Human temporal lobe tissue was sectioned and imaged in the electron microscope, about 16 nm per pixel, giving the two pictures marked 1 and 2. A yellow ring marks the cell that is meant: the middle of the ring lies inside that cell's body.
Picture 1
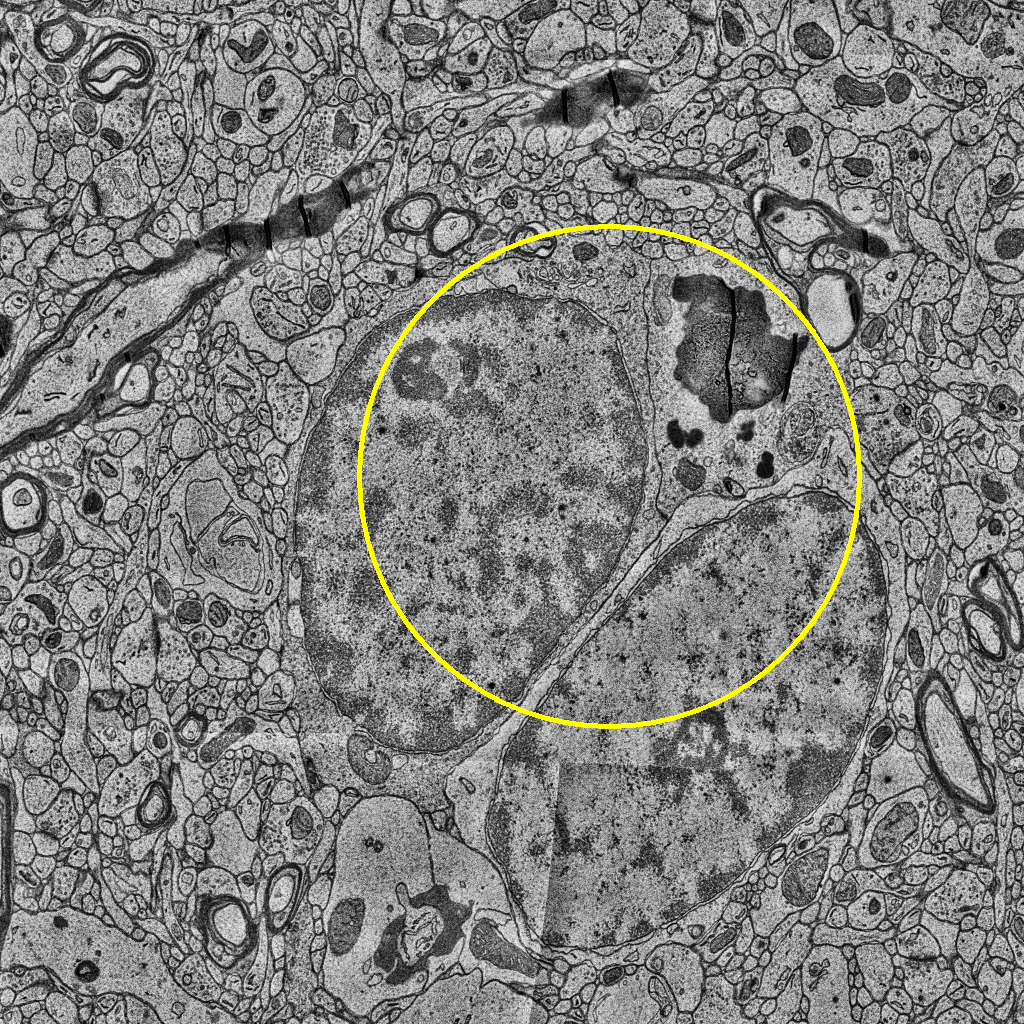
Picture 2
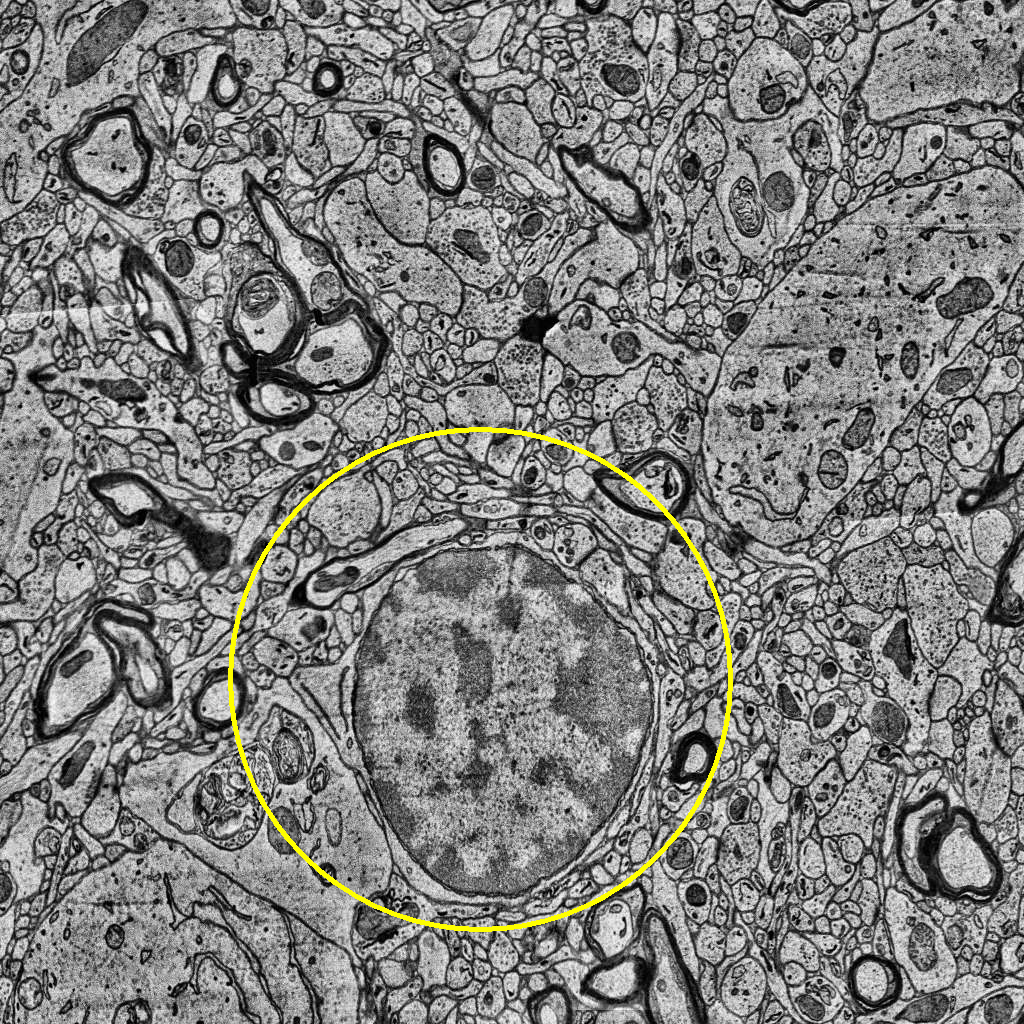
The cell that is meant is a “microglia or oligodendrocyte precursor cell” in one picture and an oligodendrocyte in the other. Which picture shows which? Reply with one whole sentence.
Picture 1 is of an oligodendrocyte, and picture 2 is of a “microglia or oligodendrocyte precursor cell”.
